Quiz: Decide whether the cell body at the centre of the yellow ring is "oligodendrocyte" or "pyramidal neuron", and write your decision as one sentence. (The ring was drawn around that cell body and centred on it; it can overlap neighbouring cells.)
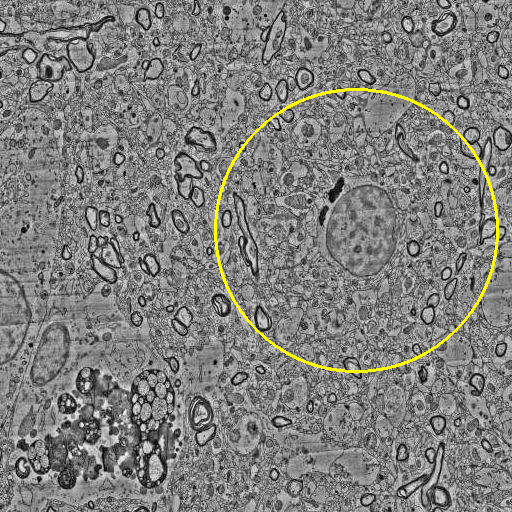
The cell the ring is centred on is an oligodendrocyte.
